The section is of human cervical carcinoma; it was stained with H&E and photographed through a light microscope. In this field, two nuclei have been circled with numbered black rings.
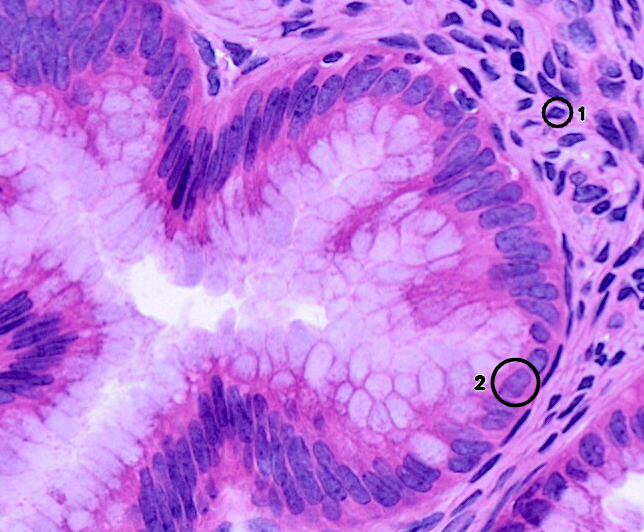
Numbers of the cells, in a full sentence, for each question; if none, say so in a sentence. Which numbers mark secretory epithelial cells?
It is cell 2, and no other numbered cell, that is a secretory epithelial cell.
